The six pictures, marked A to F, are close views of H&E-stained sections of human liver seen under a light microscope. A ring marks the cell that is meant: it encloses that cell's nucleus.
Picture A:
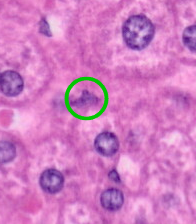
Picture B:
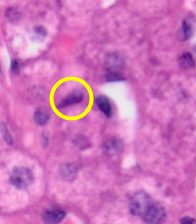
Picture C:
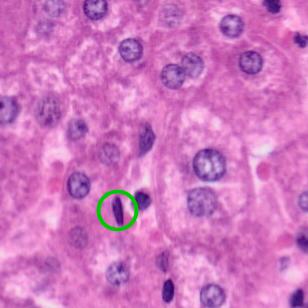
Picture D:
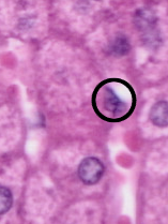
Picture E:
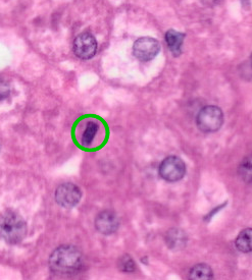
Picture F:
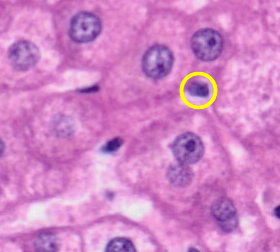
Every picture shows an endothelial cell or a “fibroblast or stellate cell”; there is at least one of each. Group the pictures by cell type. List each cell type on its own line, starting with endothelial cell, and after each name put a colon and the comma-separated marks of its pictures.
endothelial cell: A, D, F
fibroblast or stellate cell: B, C, E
